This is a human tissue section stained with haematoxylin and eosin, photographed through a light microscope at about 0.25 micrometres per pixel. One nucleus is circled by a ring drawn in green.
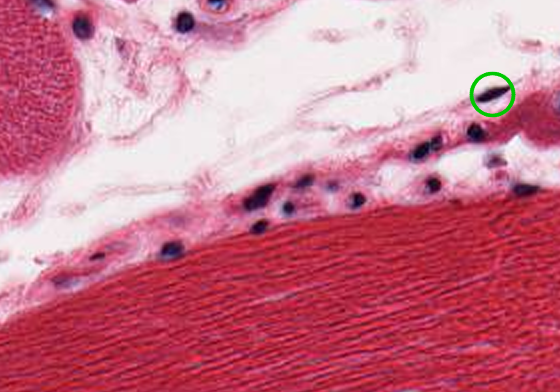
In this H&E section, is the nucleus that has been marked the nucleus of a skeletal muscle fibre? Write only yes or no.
no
